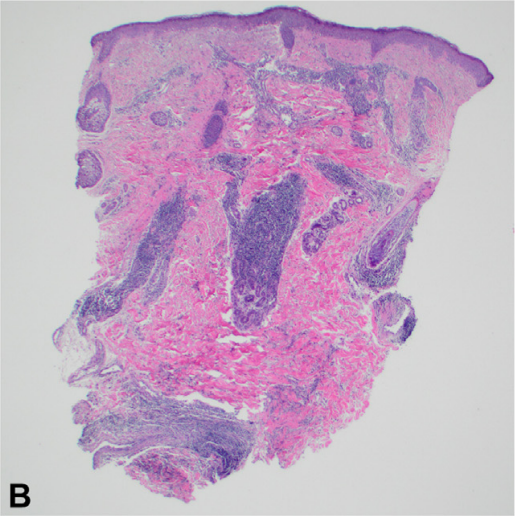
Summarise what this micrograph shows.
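This low-power view of a skin punch biopsy shows a moderately dense lymphocytic infiltrate, seen as dark purple cell collections around vessels and adnexal structures in both the superficial and deep dermis. The epidermis across the top is thin and intact, and pink collagen fills the dermis between the infiltrates.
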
